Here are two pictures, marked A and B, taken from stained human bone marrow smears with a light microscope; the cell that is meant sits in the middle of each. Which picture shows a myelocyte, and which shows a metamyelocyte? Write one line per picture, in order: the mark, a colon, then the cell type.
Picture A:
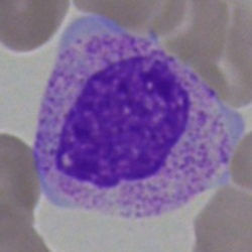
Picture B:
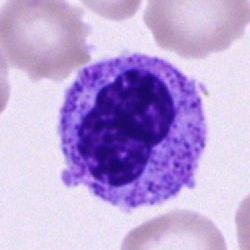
A: myelocyte
B: metamyelocyte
